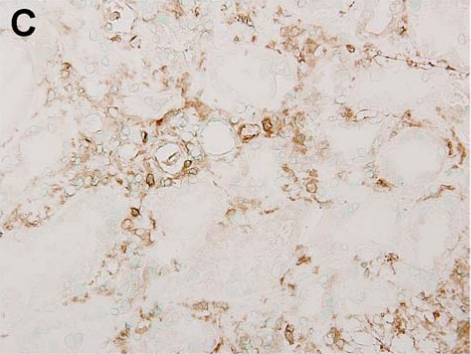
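Kidney tissue in which brown-stained tubulointerstitial cells fill the spaces between rounded tubular profiles. The tubules appear as pale, roughly circular outlines with clear lumina, their epithelium largely unstained. Around and between them lie many small cells with brown membrane and cytoplasmic staining, some rounded and some irregular or spindle-like, forming a dense interstitial network. A small vessel near the middle is outlined by strongly brown cells. The overall picture is of a cellular, crowded interstitium rather than the thin spaces of normal kidney.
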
